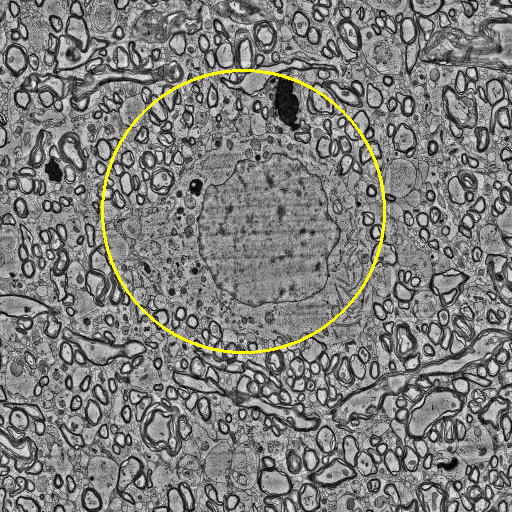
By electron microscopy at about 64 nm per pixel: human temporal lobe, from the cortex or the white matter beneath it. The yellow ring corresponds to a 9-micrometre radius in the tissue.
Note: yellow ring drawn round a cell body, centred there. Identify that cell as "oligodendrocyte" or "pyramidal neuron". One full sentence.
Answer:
The cell in the middle of the ring is a pyramidal neuron.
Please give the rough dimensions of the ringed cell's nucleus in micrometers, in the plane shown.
Approximately 9 micrometres across in this plane.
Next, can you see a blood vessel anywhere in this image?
No, no blood vessel shows in the picture.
